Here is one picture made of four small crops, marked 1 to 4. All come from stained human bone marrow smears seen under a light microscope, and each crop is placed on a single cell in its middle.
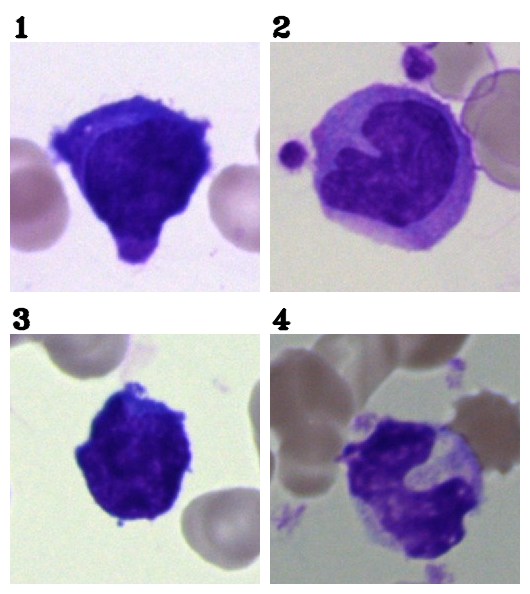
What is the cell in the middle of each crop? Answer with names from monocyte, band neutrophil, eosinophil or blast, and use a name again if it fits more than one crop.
1: blast
2: monocyte
3: blast
4: band neutrophil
